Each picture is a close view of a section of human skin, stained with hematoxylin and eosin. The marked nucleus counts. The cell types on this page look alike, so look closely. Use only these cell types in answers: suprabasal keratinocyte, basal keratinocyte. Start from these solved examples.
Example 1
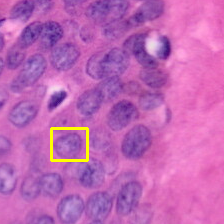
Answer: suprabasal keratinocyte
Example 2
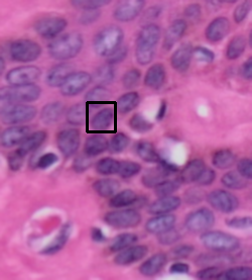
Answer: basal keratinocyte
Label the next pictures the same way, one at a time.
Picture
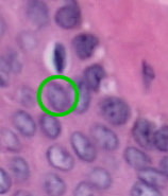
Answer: suprabasal keratinocyte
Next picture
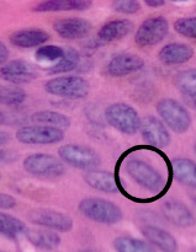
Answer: suprabasal keratinocyte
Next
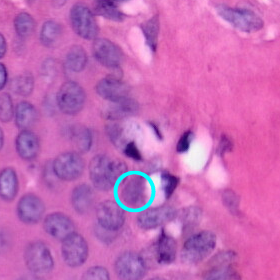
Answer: basal keratinocyte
